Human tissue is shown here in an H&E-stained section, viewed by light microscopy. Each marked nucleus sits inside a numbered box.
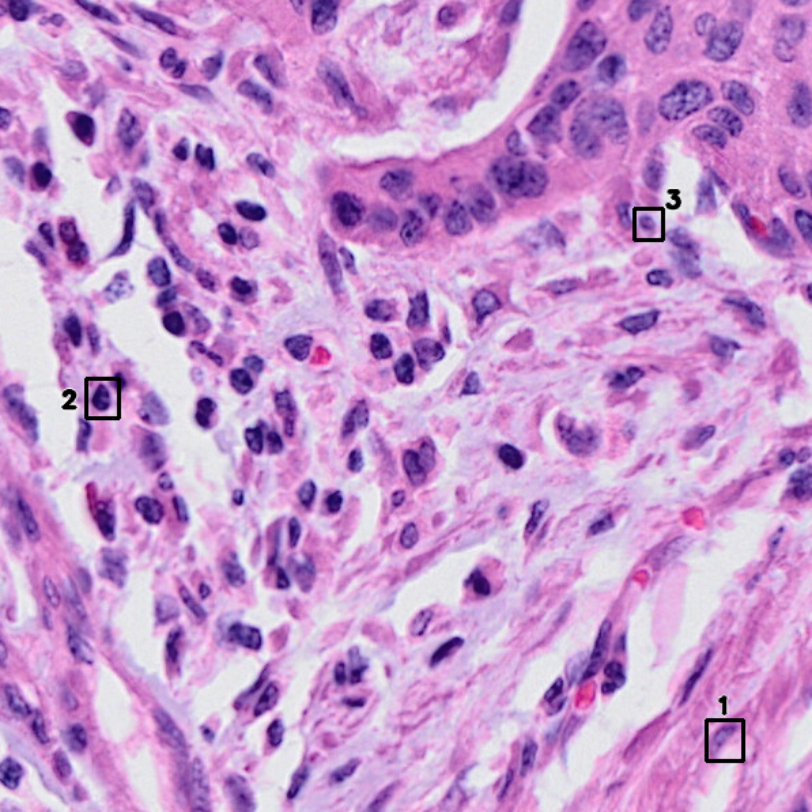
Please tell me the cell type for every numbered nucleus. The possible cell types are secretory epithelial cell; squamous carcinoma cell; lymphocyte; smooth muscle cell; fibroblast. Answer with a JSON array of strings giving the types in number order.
["fibroblast", "lymphocyte", "fibroblast"]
